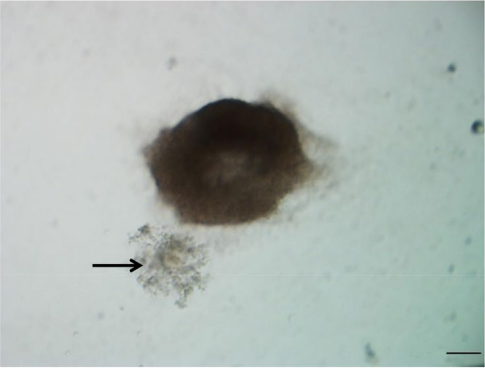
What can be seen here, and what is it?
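Below and to the left of it, separate from the follicle, lies a small pale cluster: a rounded central body surrounded by a loose, irregular halo of small cells. This cluster is the cumulus-oocyte complex that has left the follicle. The background is clear and the cells are unstained.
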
